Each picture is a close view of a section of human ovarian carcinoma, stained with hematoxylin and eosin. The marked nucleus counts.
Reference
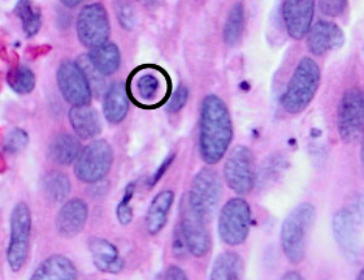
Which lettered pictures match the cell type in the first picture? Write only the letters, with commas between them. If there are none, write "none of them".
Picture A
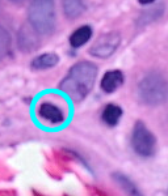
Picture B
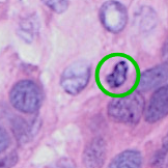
A, B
